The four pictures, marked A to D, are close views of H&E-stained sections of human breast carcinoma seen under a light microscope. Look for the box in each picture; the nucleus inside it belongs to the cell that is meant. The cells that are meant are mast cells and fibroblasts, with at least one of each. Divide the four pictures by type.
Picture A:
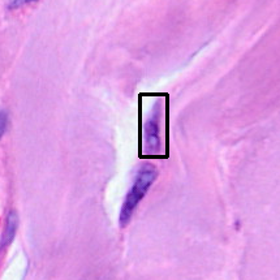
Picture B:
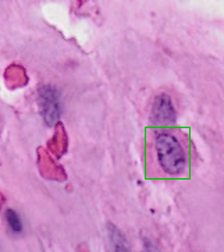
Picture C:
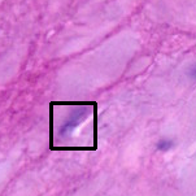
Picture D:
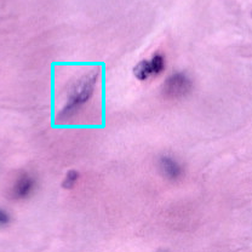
A: fibroblast
B: mast cell
C: fibroblast
D: fibroblast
